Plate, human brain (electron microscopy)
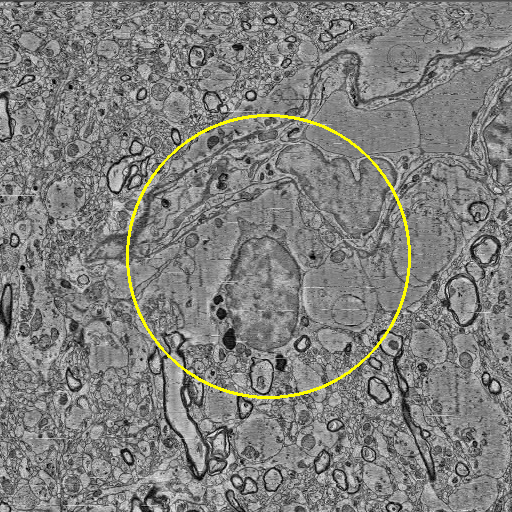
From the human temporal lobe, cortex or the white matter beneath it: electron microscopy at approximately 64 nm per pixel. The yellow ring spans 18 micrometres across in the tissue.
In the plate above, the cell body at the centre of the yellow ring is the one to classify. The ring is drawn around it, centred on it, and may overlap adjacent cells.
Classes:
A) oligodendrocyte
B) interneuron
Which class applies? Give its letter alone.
A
